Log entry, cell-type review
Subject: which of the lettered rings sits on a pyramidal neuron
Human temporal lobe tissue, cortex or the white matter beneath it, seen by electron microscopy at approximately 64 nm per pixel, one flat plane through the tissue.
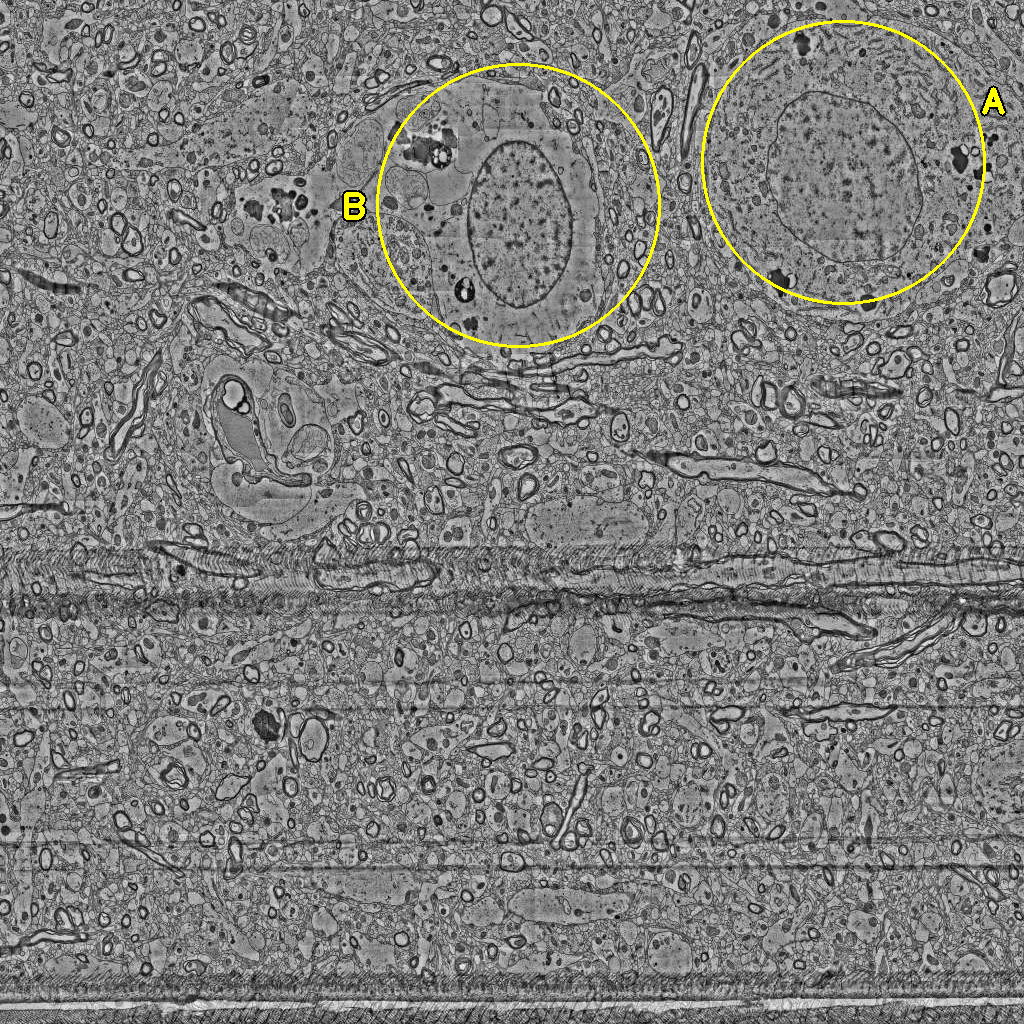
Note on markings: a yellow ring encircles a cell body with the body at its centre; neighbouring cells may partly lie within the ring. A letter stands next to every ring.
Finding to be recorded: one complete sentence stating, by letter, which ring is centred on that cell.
The cell sits at the centre of ring A.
